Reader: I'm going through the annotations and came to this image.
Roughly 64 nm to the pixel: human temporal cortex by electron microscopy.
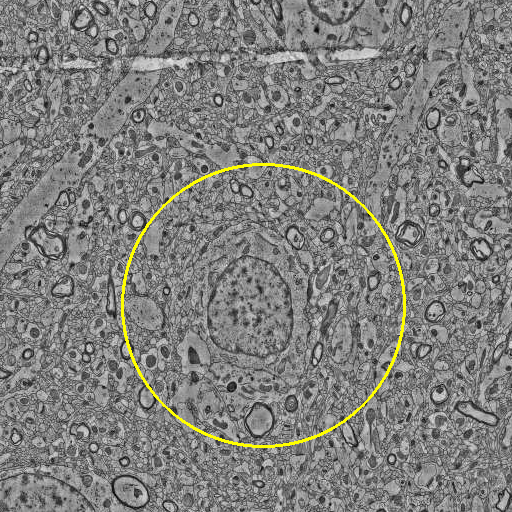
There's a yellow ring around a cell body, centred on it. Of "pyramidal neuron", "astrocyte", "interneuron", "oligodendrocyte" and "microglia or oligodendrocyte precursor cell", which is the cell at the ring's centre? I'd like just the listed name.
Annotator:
interneuron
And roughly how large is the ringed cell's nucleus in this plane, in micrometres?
The nucleus appears roughly 7 by 5 micrometres in this plane.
